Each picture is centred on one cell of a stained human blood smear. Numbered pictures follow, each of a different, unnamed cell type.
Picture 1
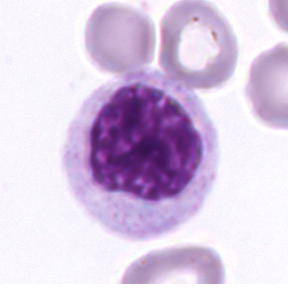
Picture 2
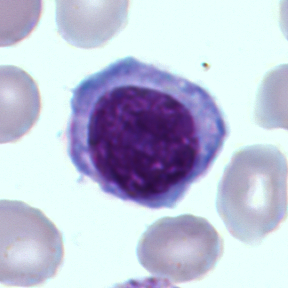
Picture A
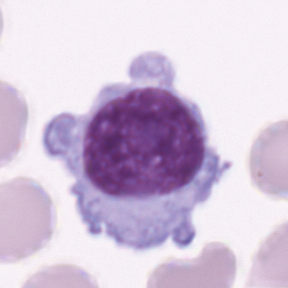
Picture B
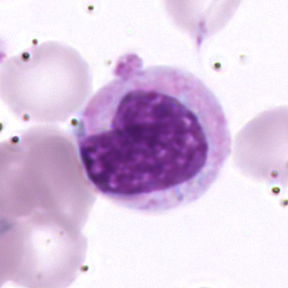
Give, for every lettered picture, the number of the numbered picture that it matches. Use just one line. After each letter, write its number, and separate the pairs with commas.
A 2, B 1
